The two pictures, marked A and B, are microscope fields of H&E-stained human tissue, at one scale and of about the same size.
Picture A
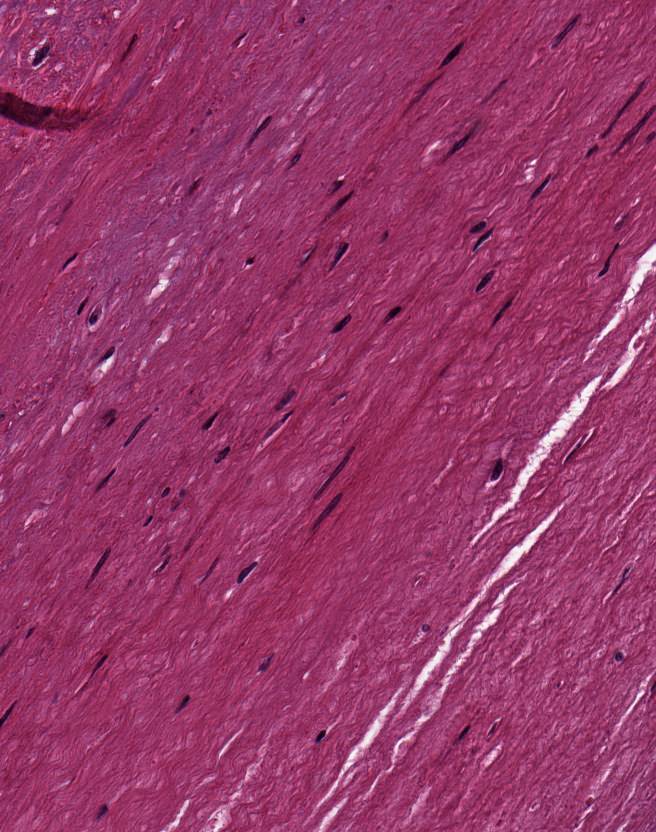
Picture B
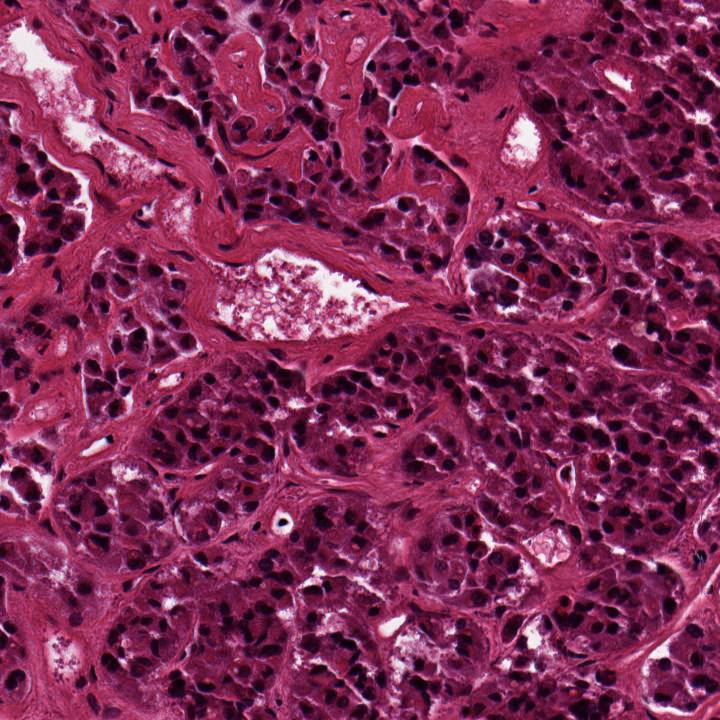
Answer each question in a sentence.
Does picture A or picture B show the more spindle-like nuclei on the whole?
On the whole the nuclei of picture A are more drawn out than those of picture B.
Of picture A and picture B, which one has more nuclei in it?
Picture B holds more nuclei than picture A.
